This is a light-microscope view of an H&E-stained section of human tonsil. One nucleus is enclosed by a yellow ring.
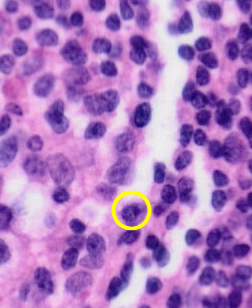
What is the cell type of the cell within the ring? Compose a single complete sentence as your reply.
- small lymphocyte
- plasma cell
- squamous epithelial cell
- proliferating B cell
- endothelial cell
As classified here, the cell within the ring is a proliferating B cell.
